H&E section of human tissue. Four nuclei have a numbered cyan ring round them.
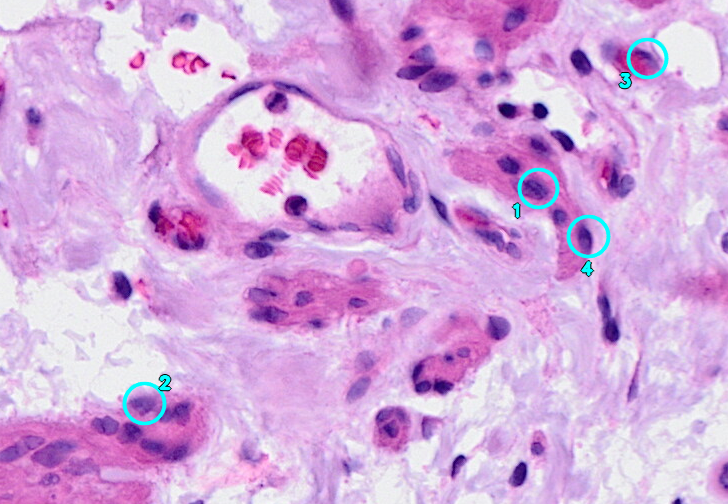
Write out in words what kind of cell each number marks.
Cells 1, 2 and 4 are smooth muscle cells. Cell 3 is an endothelial cell.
